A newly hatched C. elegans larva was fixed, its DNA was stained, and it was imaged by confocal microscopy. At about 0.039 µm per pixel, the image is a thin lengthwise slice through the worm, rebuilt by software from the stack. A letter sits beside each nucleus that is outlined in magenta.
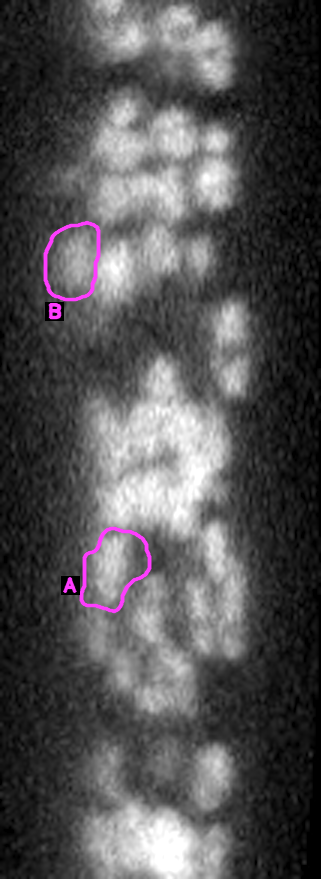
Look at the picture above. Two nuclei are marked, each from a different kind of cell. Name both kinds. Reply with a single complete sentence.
A is from a glial cell (sheath or socket), and B is from a neuron.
